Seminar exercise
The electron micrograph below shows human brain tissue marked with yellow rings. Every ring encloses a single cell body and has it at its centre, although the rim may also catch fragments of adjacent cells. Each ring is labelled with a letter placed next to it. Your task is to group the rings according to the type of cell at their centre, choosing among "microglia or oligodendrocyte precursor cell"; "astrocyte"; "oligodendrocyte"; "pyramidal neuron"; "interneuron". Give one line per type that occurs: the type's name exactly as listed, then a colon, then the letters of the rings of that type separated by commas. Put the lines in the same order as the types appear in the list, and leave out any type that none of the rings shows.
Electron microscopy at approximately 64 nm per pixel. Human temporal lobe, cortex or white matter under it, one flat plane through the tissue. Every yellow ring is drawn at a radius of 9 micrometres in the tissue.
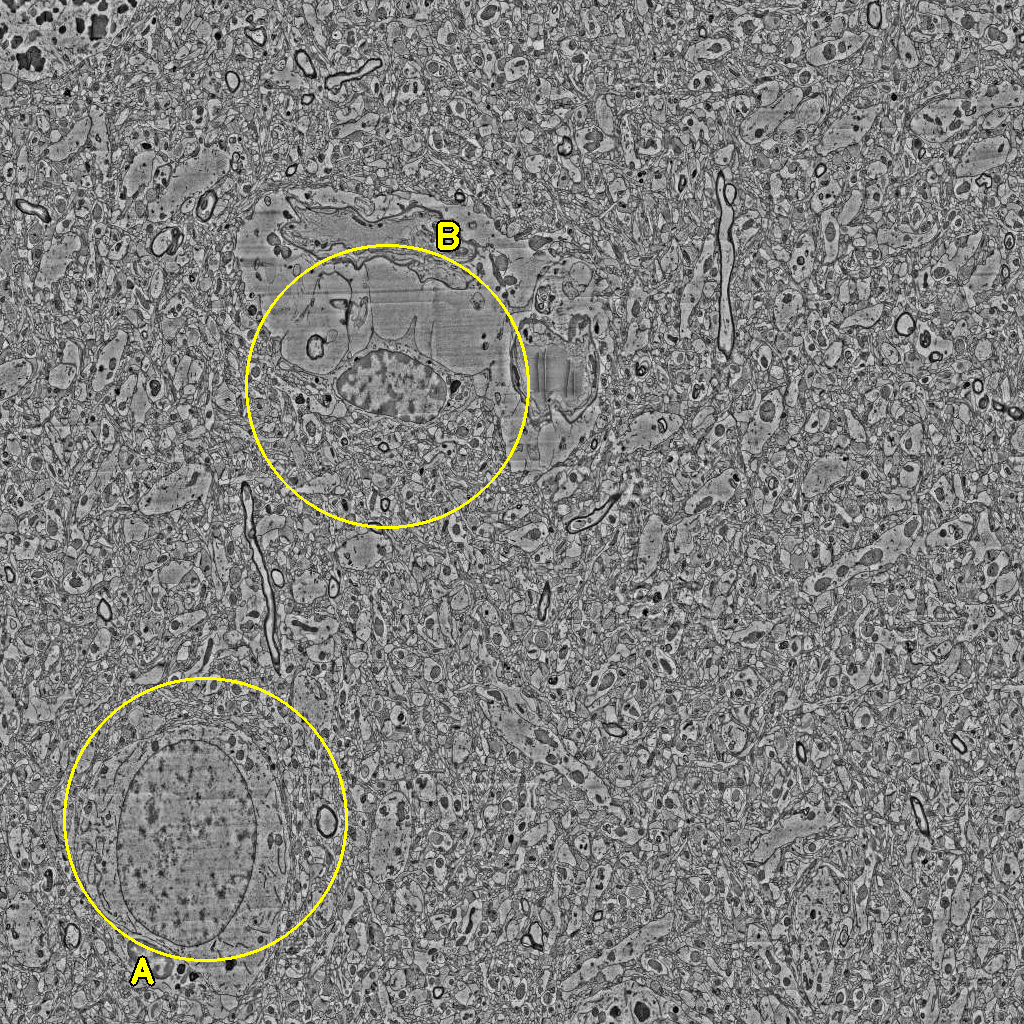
microglia or oligodendrocyte precursor cell: B
pyramidal neuron: A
